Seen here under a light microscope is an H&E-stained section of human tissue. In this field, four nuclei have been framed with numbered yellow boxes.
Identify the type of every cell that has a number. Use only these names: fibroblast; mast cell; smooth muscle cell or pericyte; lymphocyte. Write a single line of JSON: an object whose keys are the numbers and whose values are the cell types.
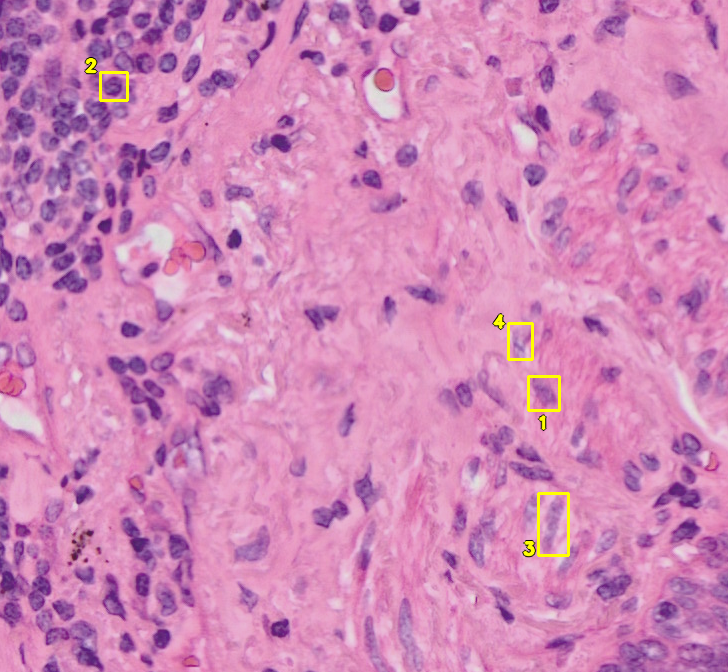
{"1": "smooth muscle cell or pericyte", "2": "lymphocyte", "3": "smooth muscle cell or pericyte", "4": "smooth muscle cell or pericyte"}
